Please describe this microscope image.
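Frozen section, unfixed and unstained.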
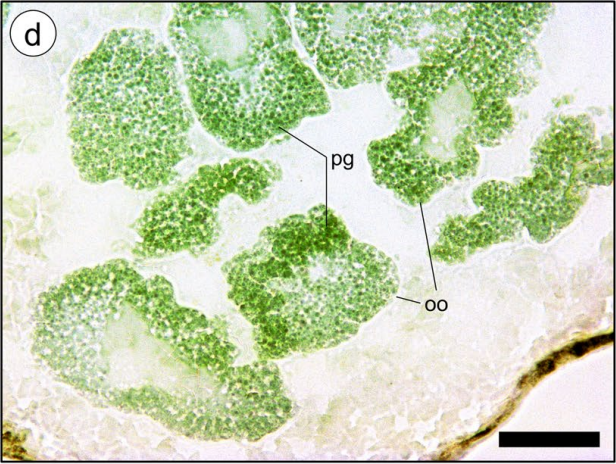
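These are oocytes cut in section, each a large rounded to lobed cell whose ooplasm is densely packed with small green pigment granules. Several oocytes lie close together separated by pale spaces, and some show a paler central region where the granules are sparser.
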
